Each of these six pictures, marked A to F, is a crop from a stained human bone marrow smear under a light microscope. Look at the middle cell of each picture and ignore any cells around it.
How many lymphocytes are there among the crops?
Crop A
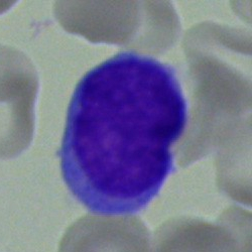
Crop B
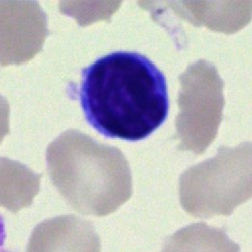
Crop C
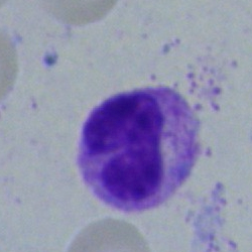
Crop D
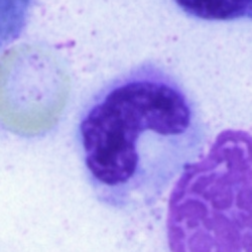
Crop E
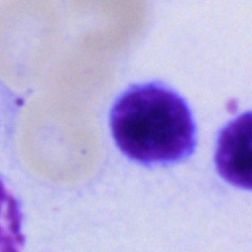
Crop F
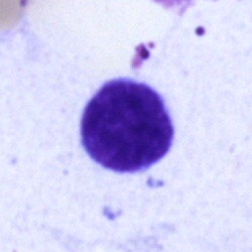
3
